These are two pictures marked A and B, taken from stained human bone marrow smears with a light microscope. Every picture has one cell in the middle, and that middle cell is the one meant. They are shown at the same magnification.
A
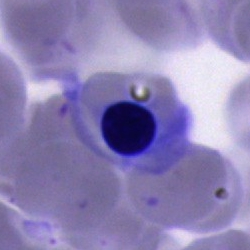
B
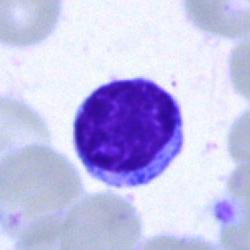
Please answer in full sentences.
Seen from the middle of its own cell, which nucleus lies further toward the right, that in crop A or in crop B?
It is the nucleus in crop B that lies further toward the right of its cell.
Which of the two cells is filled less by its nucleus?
In crop A the nucleus takes up the smaller part of its cell.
